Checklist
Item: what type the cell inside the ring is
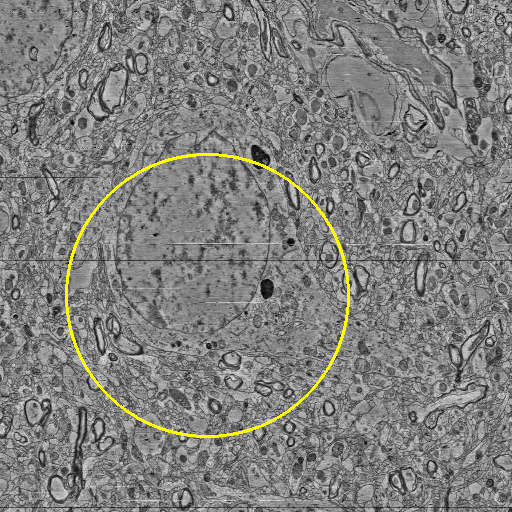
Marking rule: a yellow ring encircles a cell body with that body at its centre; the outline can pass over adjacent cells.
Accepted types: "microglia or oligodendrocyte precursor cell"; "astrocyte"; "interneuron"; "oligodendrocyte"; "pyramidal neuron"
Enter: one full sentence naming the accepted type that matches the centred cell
The entry is that a pyramidal neuron lies at the centre of the yellow ring.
